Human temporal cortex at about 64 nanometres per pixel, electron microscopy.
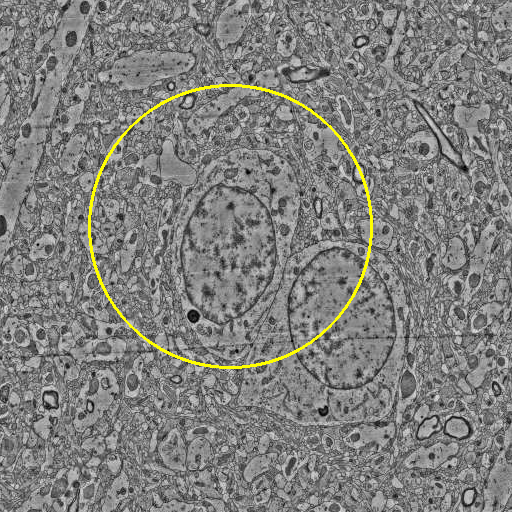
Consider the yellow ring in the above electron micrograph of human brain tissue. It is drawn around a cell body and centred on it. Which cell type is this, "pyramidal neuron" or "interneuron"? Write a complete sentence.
The cell in question is a pyramidal neuron.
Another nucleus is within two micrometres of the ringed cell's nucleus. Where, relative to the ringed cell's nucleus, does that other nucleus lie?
The second nucleus is to the lower right of it.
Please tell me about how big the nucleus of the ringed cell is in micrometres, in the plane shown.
In this plane the nucleus measures roughly 9 by 6 micrometres.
